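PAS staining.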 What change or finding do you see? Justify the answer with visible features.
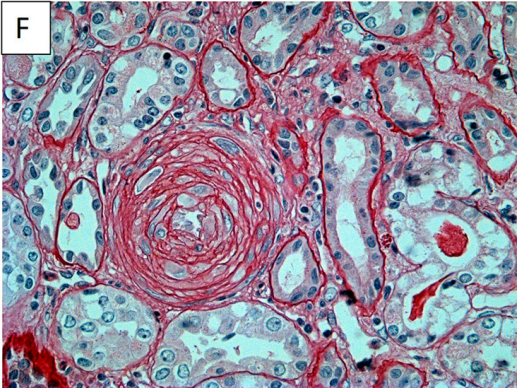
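A small vessel has many thin concentric red-stained layers. The layers surround a narrowed central lumen. The vessel lies among tubules with cuboidal epithelium. So: onion skin lesion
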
